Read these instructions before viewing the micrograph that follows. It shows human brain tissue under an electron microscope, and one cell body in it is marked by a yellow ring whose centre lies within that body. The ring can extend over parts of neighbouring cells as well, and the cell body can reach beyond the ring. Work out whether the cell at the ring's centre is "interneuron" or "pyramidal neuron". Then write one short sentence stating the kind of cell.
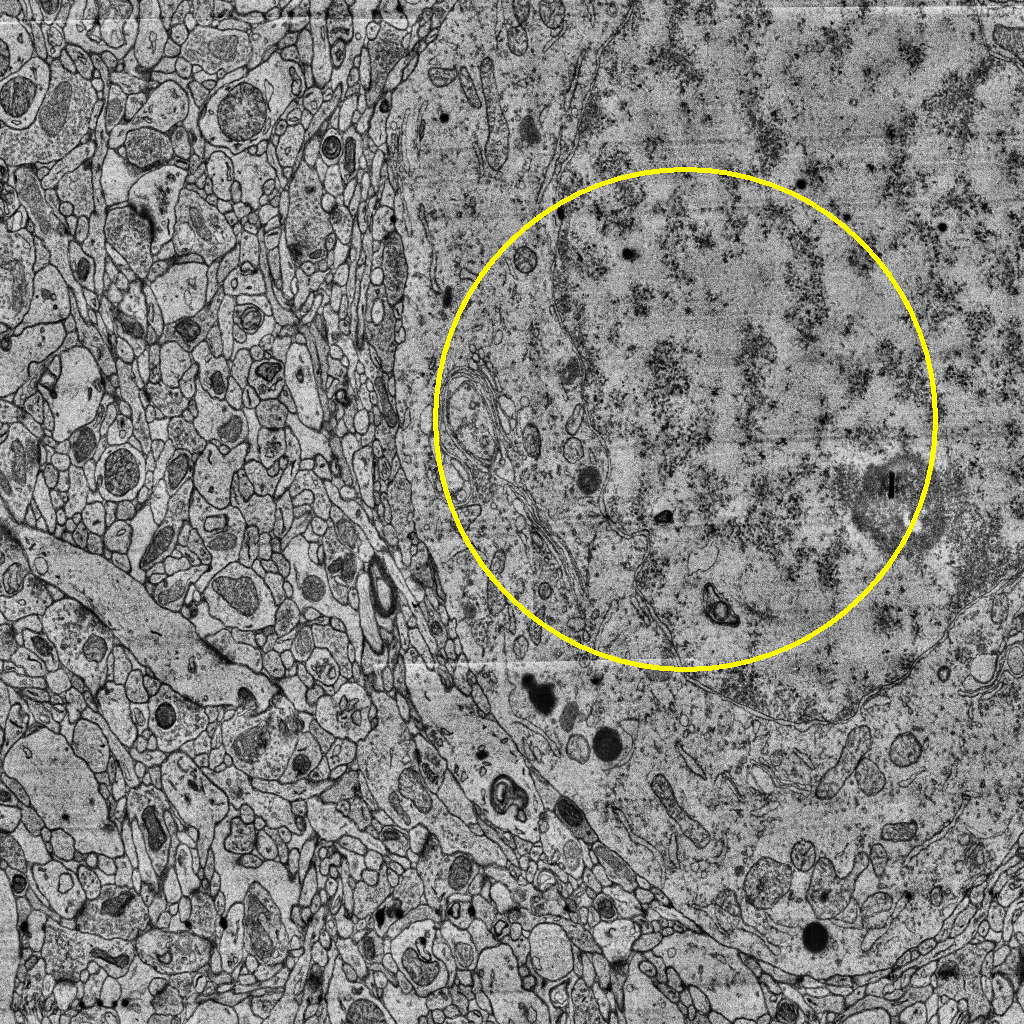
The cell at the ring's centre is an interneuron.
